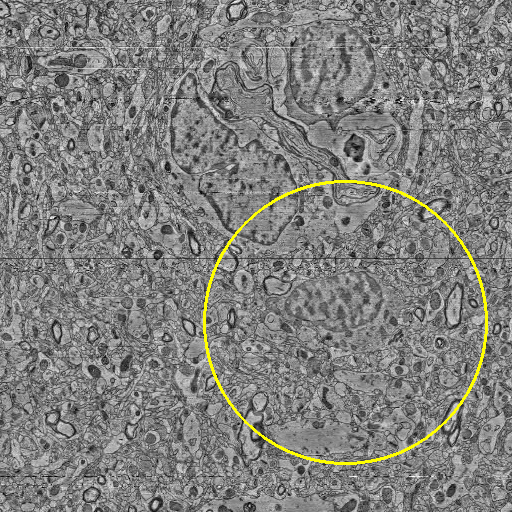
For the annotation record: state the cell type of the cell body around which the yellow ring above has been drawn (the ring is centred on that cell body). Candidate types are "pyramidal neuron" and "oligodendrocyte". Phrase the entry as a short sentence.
The ringed cell is an oligodendrocyte.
